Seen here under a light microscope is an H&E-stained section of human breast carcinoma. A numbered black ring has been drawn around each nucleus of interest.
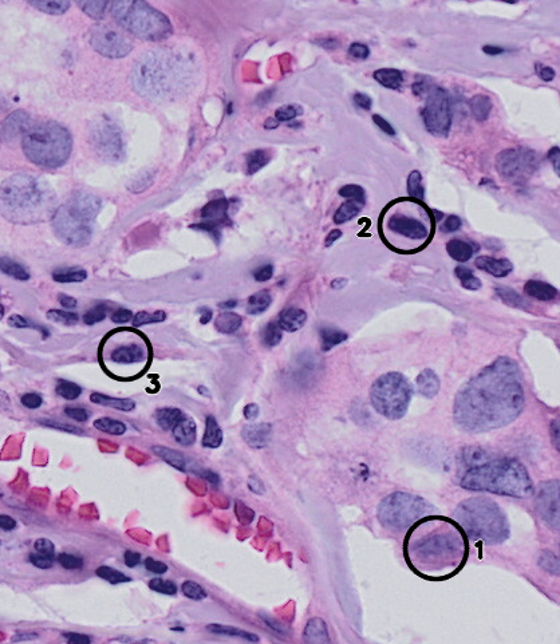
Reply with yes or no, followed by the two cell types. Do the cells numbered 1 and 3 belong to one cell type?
No, cell 1 is a carcinoma cell and cell 3 is a lymphocyte.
